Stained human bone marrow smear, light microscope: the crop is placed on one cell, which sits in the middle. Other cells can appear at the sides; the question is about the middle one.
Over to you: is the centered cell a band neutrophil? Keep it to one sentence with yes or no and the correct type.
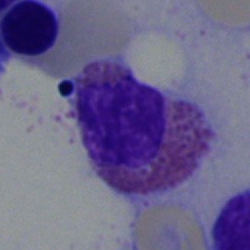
No, the middle of the crop holds an eosinophil, not a band neutrophil.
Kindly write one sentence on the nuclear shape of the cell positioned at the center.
If you check the nucleus, you will find one compact mass, round, oval or kidney-shaped.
